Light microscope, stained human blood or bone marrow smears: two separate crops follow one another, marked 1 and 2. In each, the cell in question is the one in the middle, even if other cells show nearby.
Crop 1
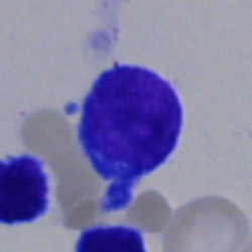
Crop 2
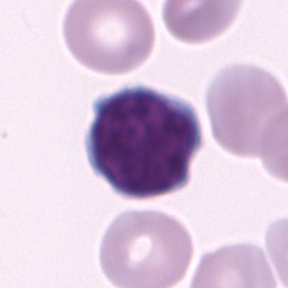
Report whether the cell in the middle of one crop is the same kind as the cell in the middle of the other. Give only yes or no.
yes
